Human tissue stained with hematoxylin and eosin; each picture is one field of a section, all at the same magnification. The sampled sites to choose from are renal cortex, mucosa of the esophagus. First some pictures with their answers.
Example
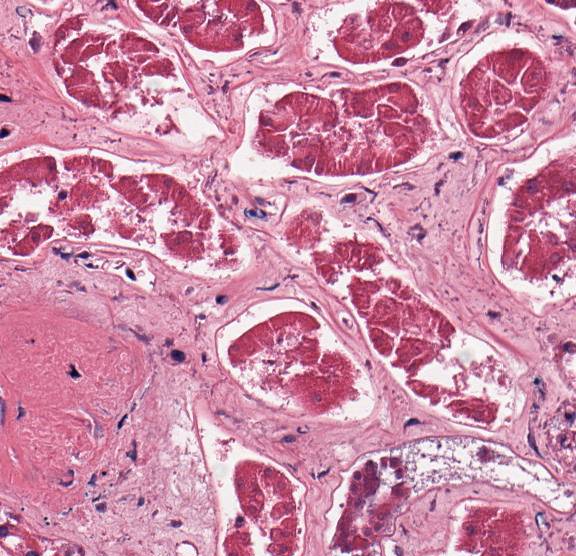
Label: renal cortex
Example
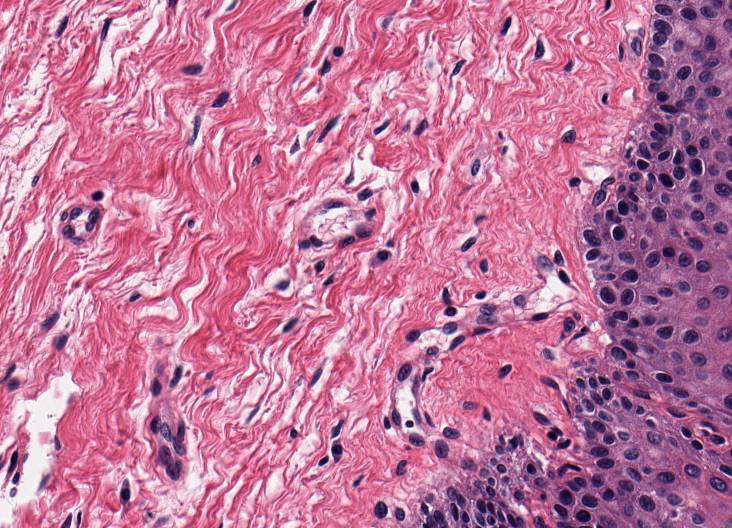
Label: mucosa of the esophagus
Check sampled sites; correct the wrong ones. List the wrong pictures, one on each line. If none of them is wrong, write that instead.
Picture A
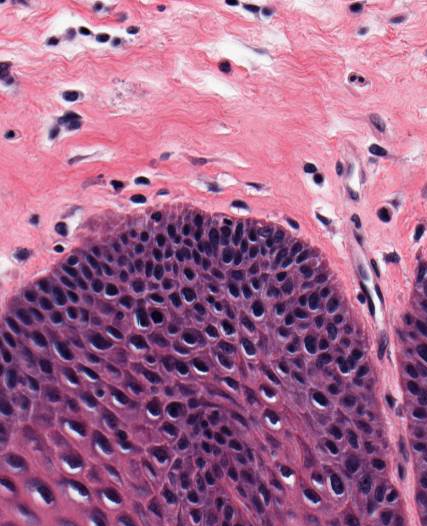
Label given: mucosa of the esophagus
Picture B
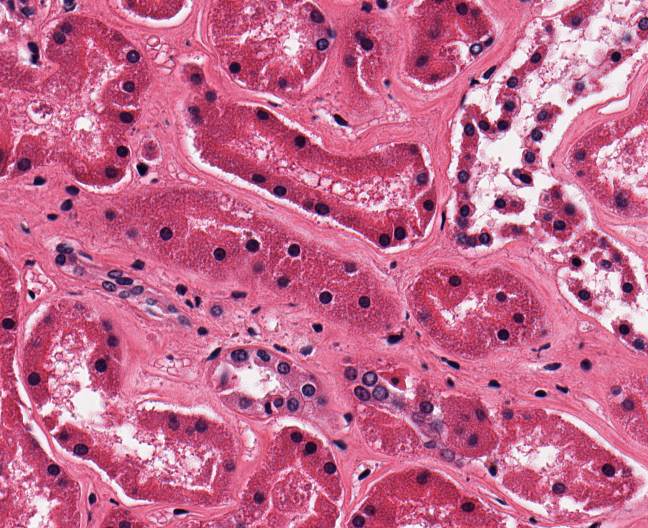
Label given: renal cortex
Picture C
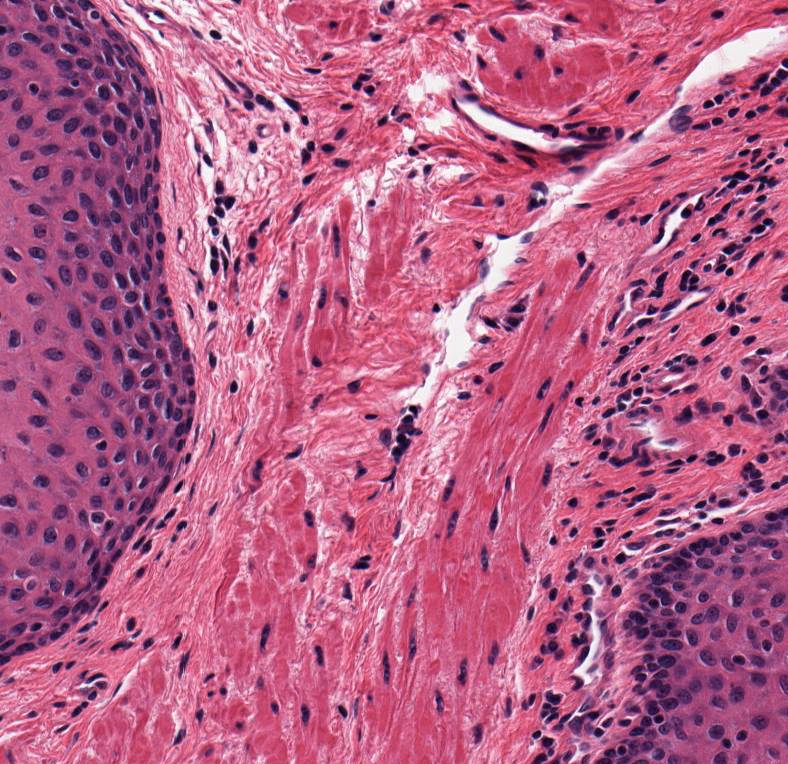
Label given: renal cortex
C: mucosa of the esophagus, not renal cortex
